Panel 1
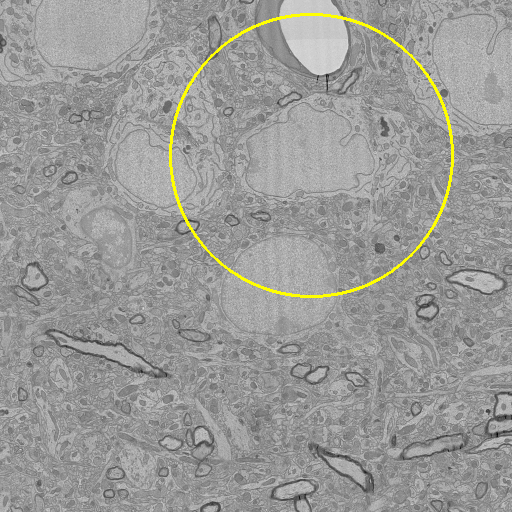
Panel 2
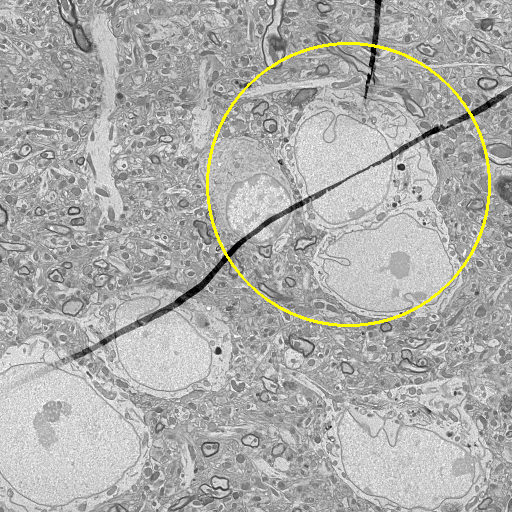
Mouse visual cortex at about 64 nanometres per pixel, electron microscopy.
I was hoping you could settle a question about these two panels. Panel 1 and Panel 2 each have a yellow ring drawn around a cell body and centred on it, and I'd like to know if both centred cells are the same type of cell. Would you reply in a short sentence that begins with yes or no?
Yes, both are the same type of cell.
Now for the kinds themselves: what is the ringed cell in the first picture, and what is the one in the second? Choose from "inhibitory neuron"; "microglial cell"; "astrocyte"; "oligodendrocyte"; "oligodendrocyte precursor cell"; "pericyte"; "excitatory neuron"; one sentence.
Each of the two rings surrounds an excitatory neuron.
